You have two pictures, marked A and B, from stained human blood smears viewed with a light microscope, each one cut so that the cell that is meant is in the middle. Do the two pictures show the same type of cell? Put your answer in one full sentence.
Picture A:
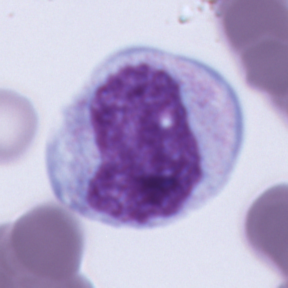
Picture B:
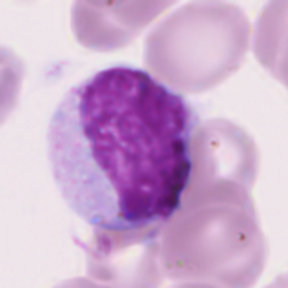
Yes; the cells in both pictures are metamyelocytes.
